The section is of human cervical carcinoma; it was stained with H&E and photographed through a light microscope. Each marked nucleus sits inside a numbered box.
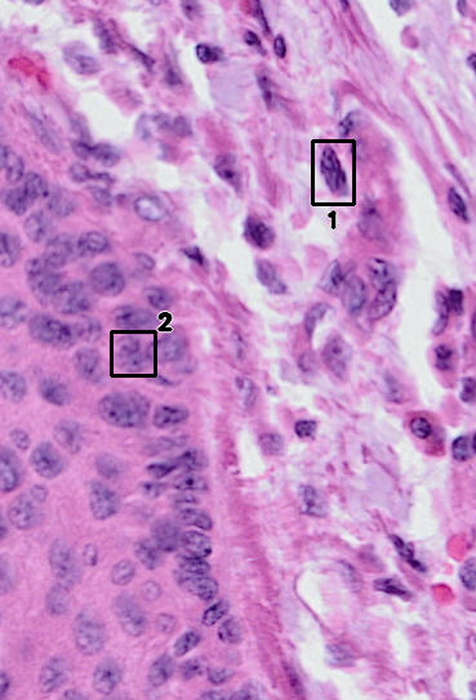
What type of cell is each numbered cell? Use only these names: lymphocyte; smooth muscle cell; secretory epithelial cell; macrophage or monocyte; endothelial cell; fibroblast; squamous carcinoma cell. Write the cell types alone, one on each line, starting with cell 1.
lymphocyte
squamous carcinoma cell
